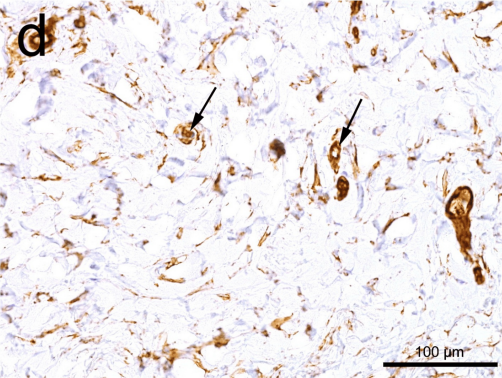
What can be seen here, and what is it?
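Here numerous slender spindle cells with thin brown-stained processes are scattered through a loose, pale fibrous stroma. Small capillaries appear as brown-rimmed rings with a tiny lumen, and a larger elongated vessel stains strongly brown at one side.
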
